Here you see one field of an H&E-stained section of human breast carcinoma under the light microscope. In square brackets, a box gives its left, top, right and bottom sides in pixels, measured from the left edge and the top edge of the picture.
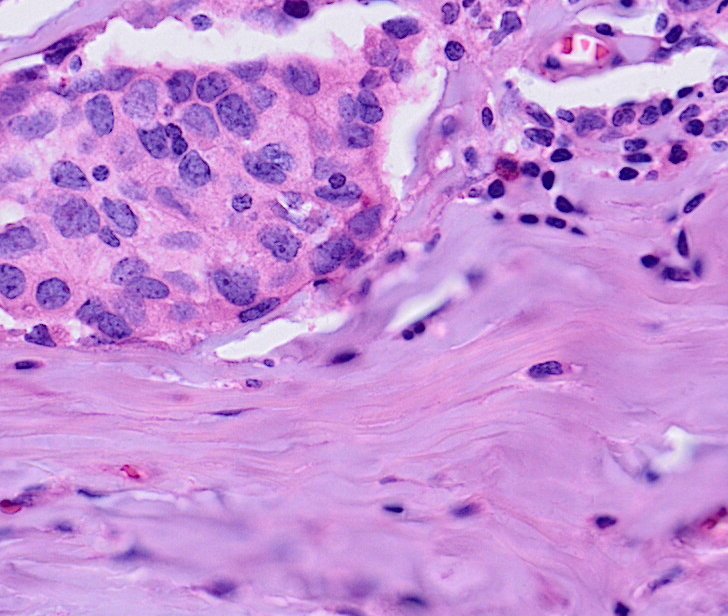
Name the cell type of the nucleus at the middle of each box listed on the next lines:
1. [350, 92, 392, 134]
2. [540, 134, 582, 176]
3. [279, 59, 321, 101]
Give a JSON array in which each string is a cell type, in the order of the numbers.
["carcinoma cell", "lymphocyte", "carcinoma cell"]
